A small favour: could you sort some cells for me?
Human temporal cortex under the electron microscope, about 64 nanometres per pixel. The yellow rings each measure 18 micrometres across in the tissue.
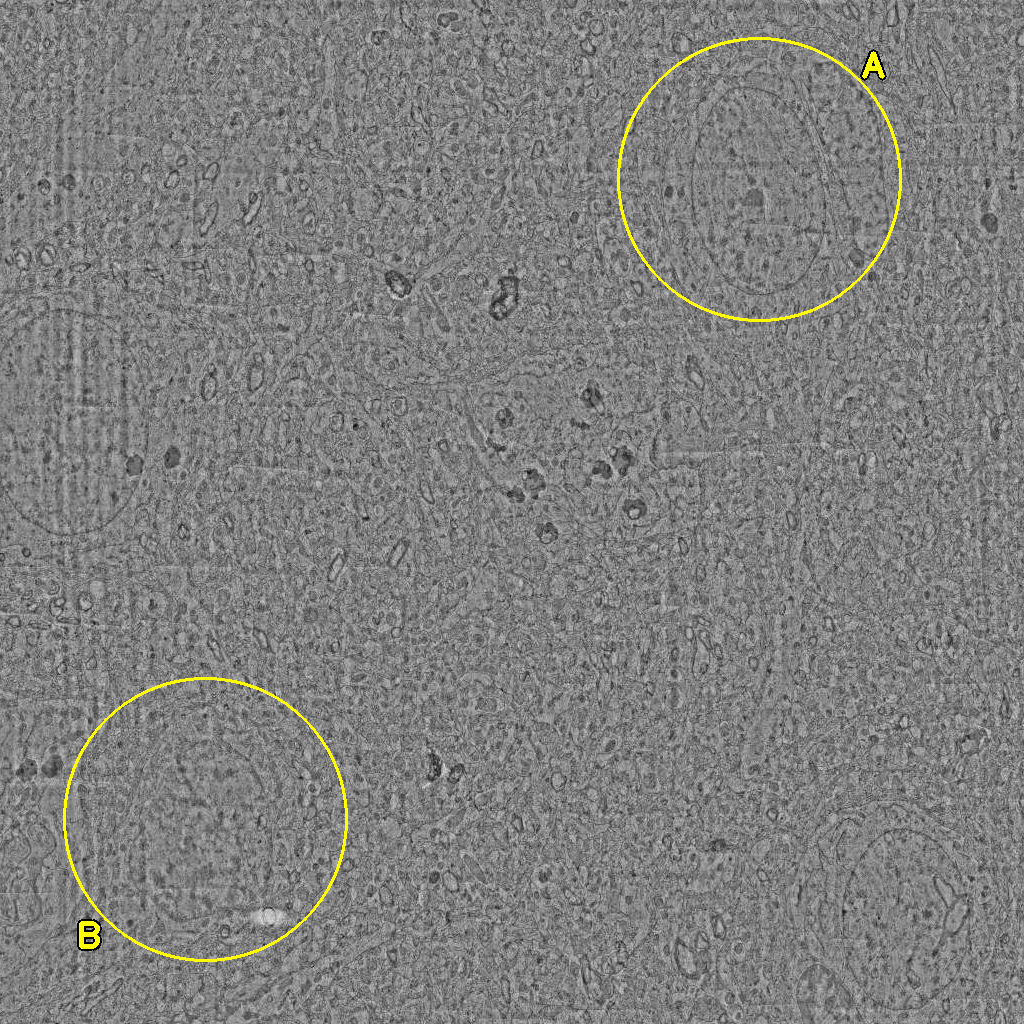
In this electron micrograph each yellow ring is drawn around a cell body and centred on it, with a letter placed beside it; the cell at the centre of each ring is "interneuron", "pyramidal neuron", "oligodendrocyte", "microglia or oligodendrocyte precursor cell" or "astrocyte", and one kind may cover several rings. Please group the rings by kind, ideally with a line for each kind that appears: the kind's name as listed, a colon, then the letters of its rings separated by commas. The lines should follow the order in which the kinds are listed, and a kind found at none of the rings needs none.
interneuron: B
pyramidal neuron: A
